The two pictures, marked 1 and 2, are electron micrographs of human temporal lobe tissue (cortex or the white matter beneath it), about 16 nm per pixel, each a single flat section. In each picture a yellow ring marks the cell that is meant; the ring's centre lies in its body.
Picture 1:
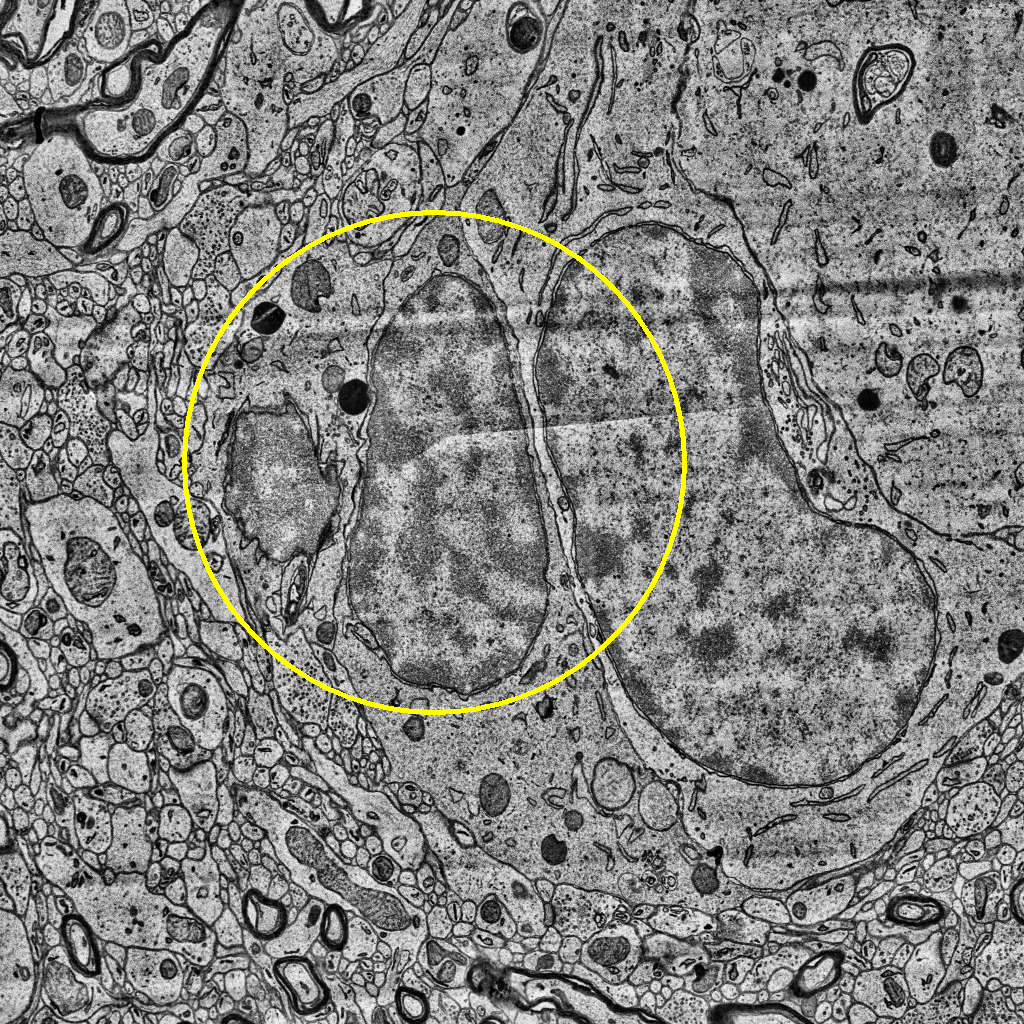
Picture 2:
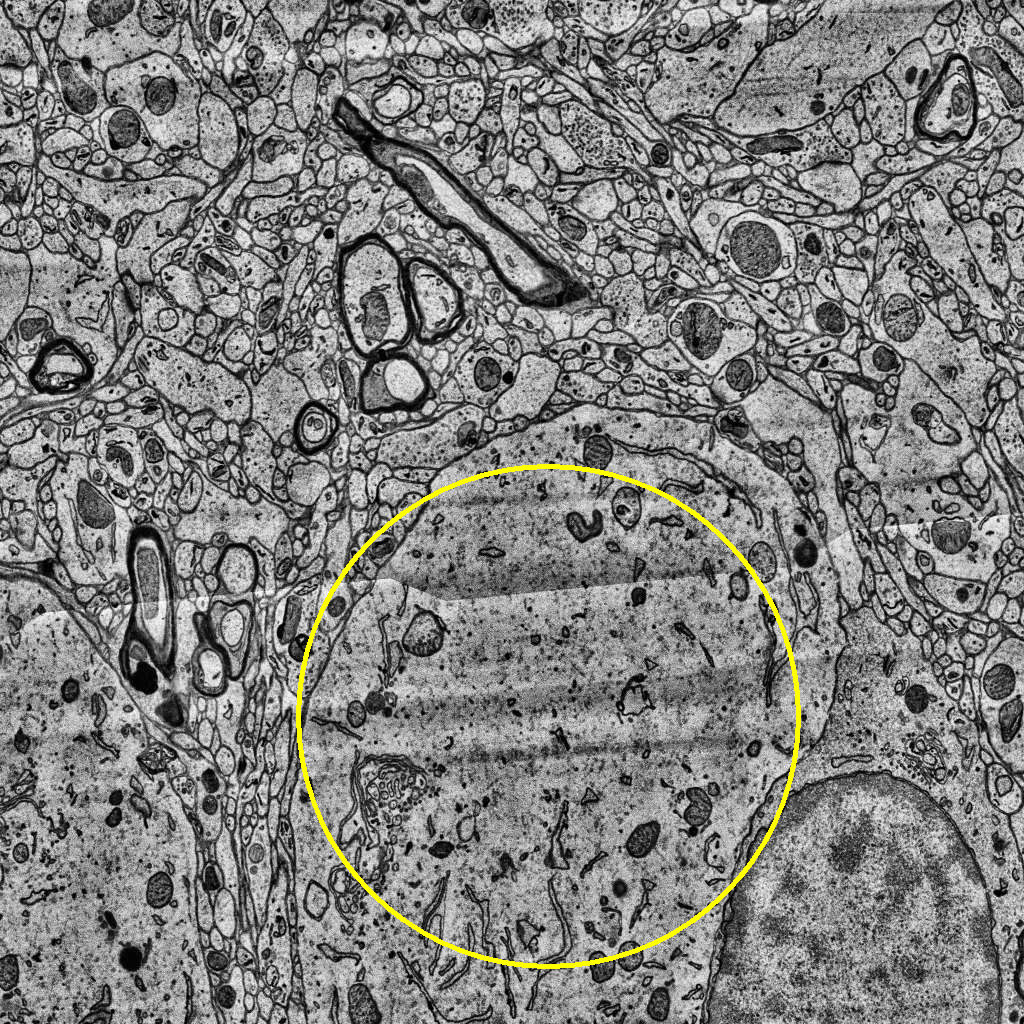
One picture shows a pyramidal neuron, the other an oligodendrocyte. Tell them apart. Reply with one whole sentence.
It is picture 1 that shows an oligodendrocyte, and picture 2 that shows a pyramidal neuron.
